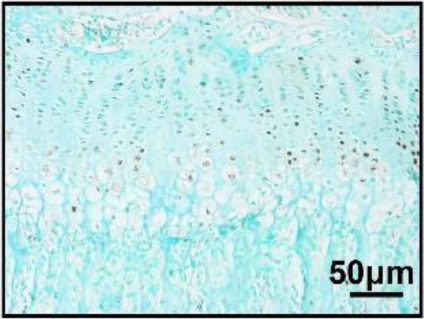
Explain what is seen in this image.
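Growth plate cartilage with chondrocytes in columns on a blue-green counterstained matrix. Scattered nuclei are stained brown among unstained ones, and the lower cells are larger, rounded and pale.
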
